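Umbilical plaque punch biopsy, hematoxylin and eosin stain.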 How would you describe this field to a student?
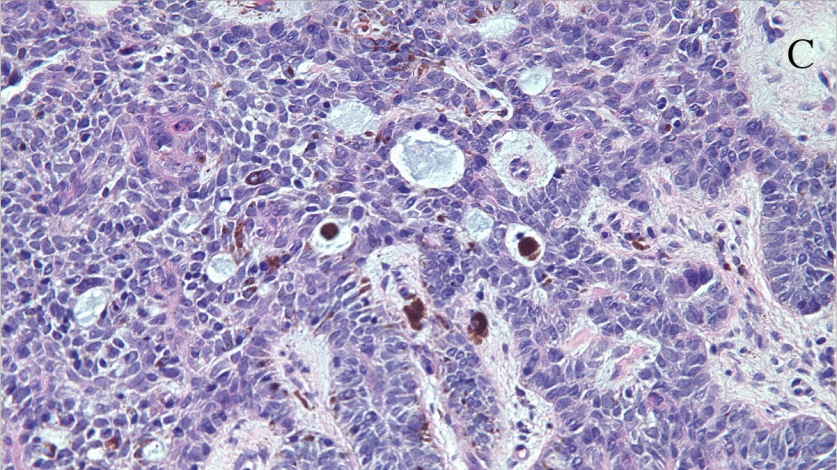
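Sheets and cords of basaloid tumor cells containing pools of mucin and scattered melanin-bearing melanophages. The tumor cells are closely packed, with oval, dark-staining nuclei and little pale cytoplasm, and are separated by thin strands of pink stroma. Within the sheets are several round clear spaces holding faint grey-blue wispy material; two of these contain a rounded dark brown pigmented cell. Further brown pigment granules and small pigmented cells lie among the tumor cells and in the narrow stromal septa. At the edge, palisaded nuclei border a strip of loose stroma.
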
